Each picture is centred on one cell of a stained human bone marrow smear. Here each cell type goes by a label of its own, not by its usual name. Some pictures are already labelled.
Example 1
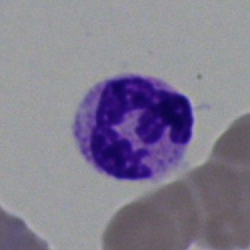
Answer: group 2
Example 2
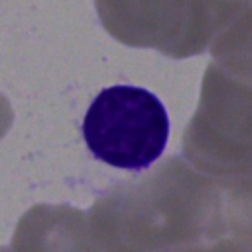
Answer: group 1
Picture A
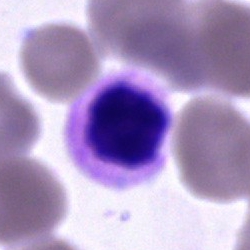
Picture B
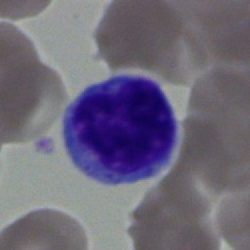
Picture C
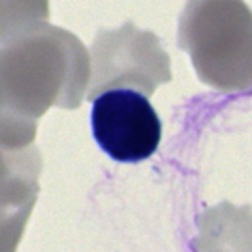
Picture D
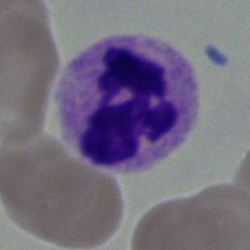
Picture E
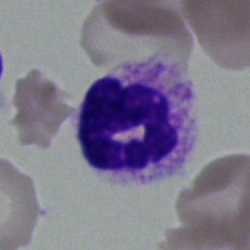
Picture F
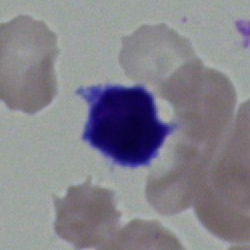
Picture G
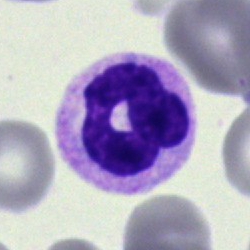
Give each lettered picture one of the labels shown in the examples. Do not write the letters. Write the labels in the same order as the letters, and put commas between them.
group 2, group 1, group 1, group 2, group 2, group 1, group 2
